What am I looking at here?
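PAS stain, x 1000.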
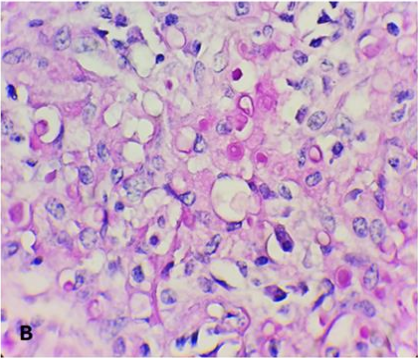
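Cells with pale pink, finely granular cytoplasm and oval, blue-grey nuclei with open chromatin are packed closely, their cytoplasm containing many clear vacuole-like spaces. Scattered among and within the cells are small round bodies stained bright magenta, sharply outlined, some lying inside the clear spaces and some showing a darker centre or rim. The background cytoplasm takes a faint pink tint.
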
